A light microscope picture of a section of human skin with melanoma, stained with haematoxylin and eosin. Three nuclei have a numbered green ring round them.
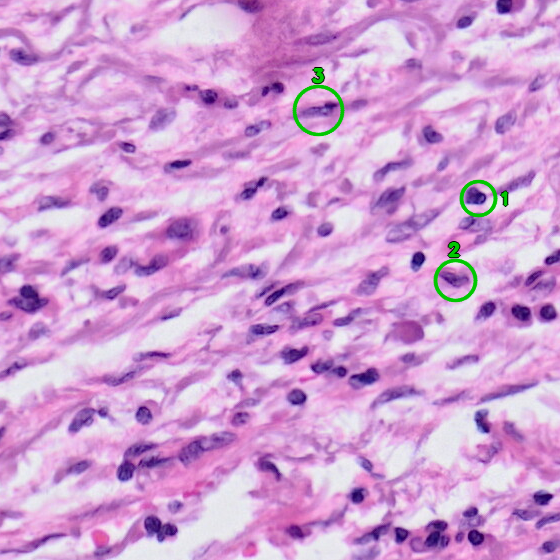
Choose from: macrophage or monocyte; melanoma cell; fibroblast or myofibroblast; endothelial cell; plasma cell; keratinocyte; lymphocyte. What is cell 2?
macrophage or monocyte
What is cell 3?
fibroblast or myofibroblast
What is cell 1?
lymphocyte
